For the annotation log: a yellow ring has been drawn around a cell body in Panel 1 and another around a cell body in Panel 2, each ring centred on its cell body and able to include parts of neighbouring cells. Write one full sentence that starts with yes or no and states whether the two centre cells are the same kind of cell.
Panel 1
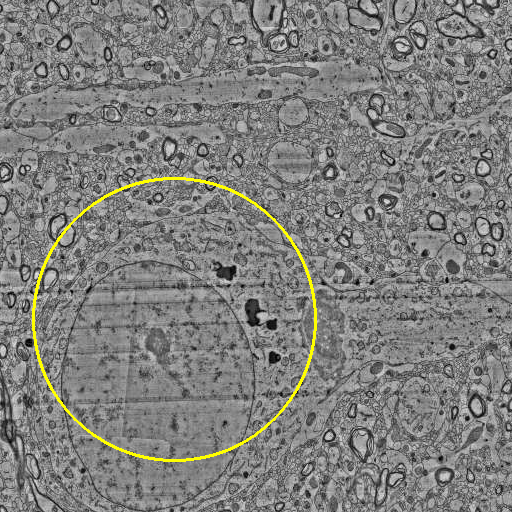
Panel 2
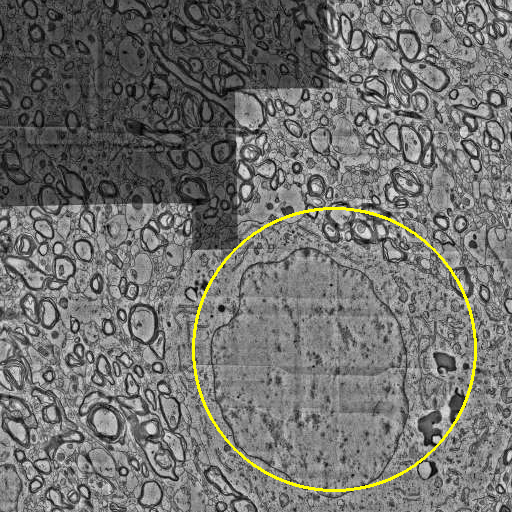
Yes, the two centre cells are the same kind of cell.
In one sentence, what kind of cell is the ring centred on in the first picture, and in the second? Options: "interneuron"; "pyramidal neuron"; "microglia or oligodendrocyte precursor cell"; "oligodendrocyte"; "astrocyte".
Each of the two rings is centred on a pyramidal neuron.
